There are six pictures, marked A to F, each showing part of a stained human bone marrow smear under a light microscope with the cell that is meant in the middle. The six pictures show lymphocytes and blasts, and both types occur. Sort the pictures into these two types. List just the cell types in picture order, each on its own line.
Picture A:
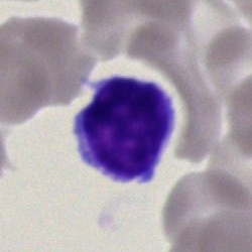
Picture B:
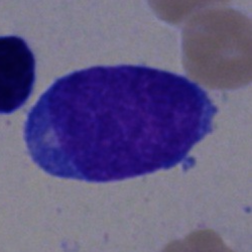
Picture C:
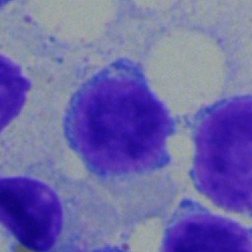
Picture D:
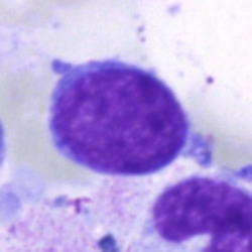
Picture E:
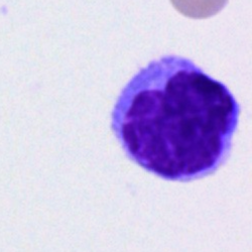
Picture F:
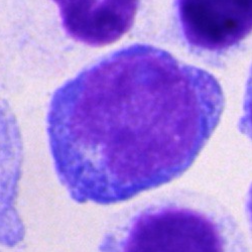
lymphocyte
blast
lymphocyte
blast
lymphocyte
blast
